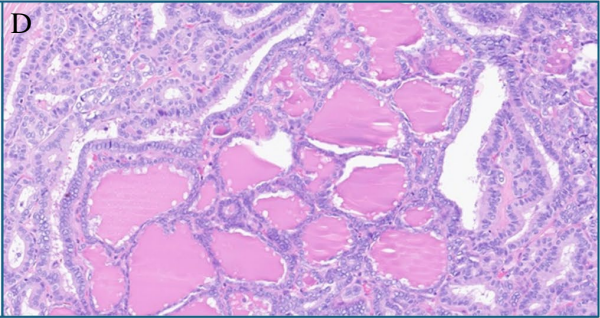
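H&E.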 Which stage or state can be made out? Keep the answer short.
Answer: Follicular subtype.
